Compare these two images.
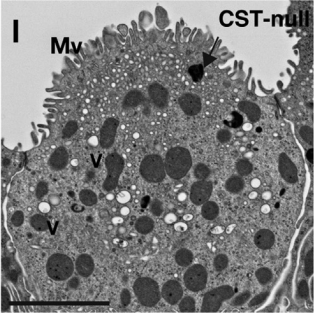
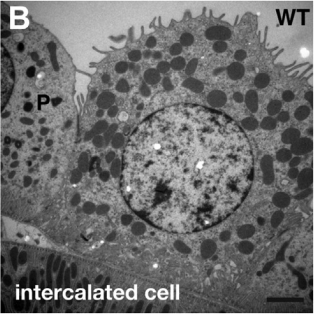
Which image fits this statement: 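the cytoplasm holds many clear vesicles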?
The first image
